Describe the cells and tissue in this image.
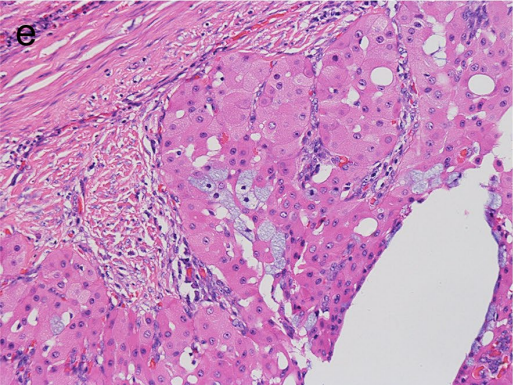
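This is an oncocytic mucoepidermoid carcinoma, where most tumour cells are large with plentiful pink granular cytoplasm and round nuclei, gathered in nests. Among them lie scattered cells with pale, bluish-grey foamy cytoplasm, the mucous cells. Clear round vacuoles dot the nests, and a large empty cystic space opens at the lower right. Fibrous stroma with spindle-shaped cells runs along the top and between the nests.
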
